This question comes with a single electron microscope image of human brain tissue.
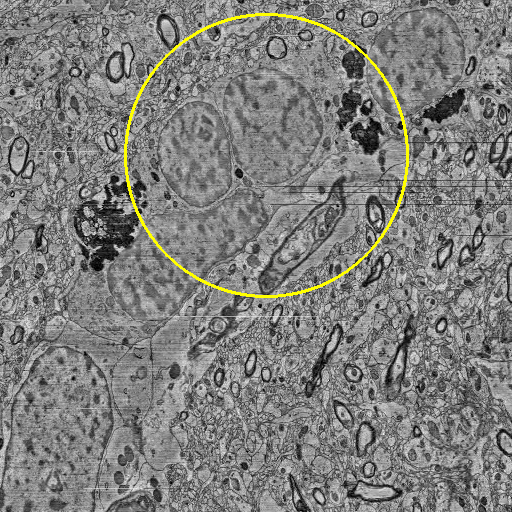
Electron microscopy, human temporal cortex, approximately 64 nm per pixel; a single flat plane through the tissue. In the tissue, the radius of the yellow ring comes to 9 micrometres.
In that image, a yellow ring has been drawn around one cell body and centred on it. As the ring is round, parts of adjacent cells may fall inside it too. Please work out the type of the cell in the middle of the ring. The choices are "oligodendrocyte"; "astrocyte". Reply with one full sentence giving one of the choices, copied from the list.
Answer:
Of the choices, an oligodendrocyte is the cell sitting in the middle of the ring.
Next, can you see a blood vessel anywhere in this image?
Yes, there is a blood vessel in the image.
